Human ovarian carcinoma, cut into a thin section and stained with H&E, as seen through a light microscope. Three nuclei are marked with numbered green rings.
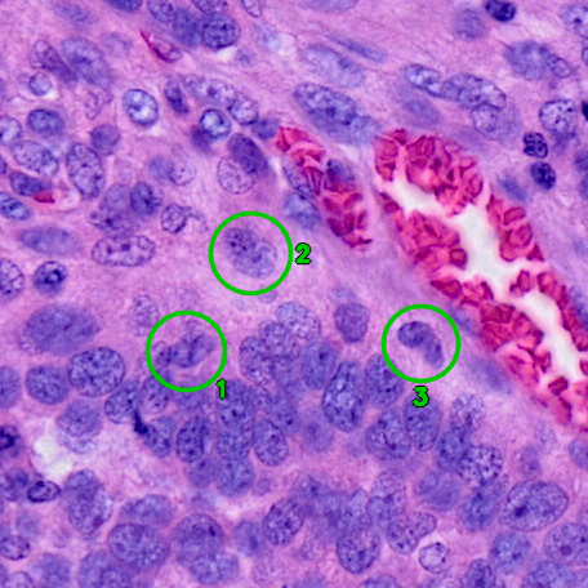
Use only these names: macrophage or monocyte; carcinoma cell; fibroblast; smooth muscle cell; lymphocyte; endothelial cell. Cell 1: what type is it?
macrophage or monocyte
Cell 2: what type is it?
fibroblast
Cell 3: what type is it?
macrophage or monocyte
